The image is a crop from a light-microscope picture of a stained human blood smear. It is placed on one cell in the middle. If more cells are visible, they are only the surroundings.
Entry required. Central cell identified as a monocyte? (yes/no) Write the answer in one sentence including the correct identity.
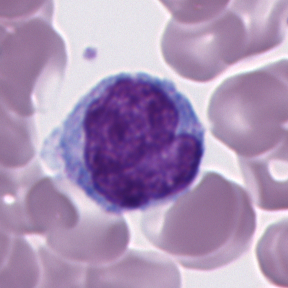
Yes, the cell in the middle is a monocyte.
